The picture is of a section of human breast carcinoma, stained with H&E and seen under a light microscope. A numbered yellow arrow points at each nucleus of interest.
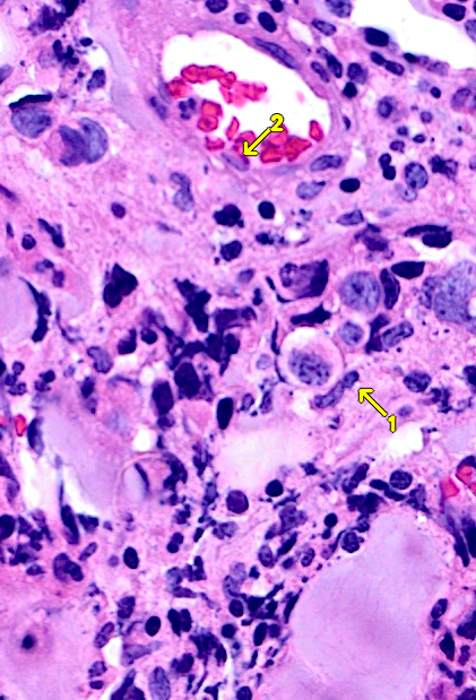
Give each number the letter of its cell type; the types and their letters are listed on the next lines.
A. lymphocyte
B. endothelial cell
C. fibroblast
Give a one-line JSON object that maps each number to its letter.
{"1": "A", "2": "B"}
